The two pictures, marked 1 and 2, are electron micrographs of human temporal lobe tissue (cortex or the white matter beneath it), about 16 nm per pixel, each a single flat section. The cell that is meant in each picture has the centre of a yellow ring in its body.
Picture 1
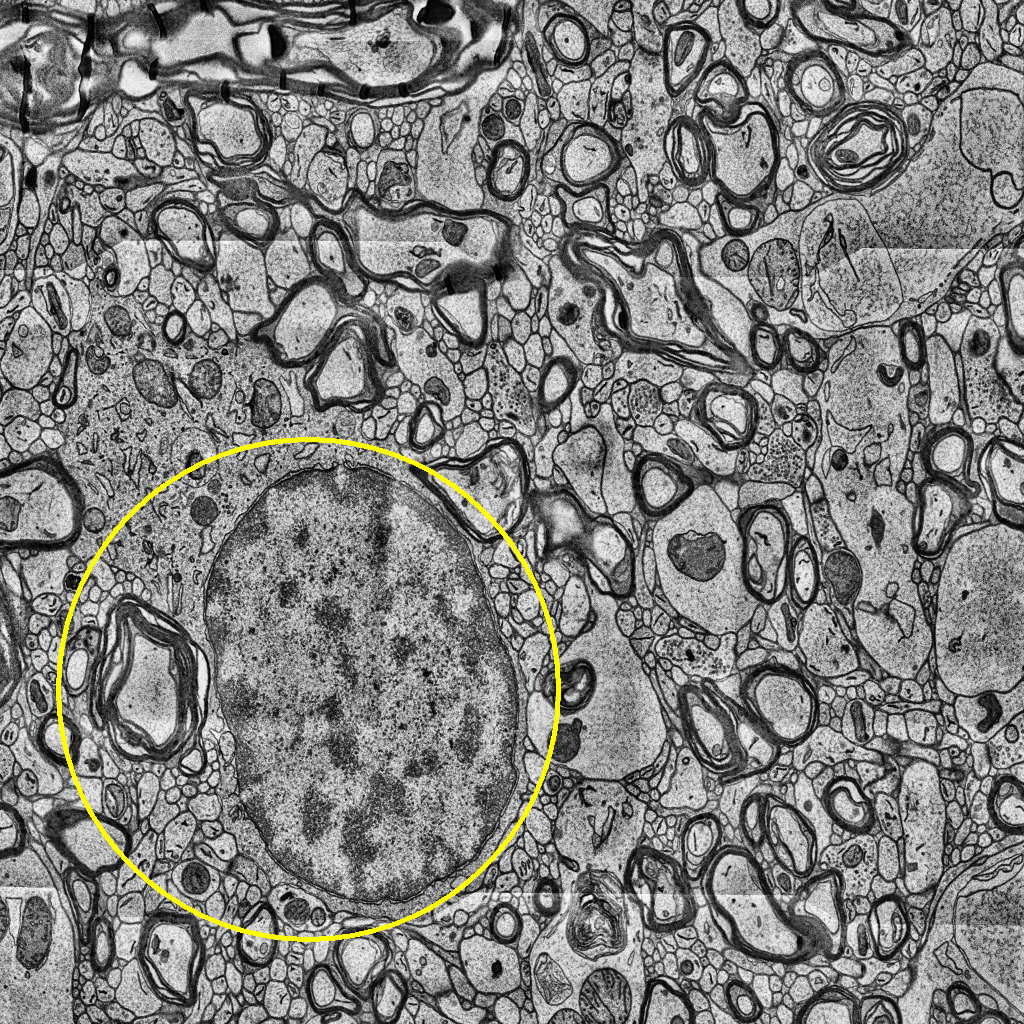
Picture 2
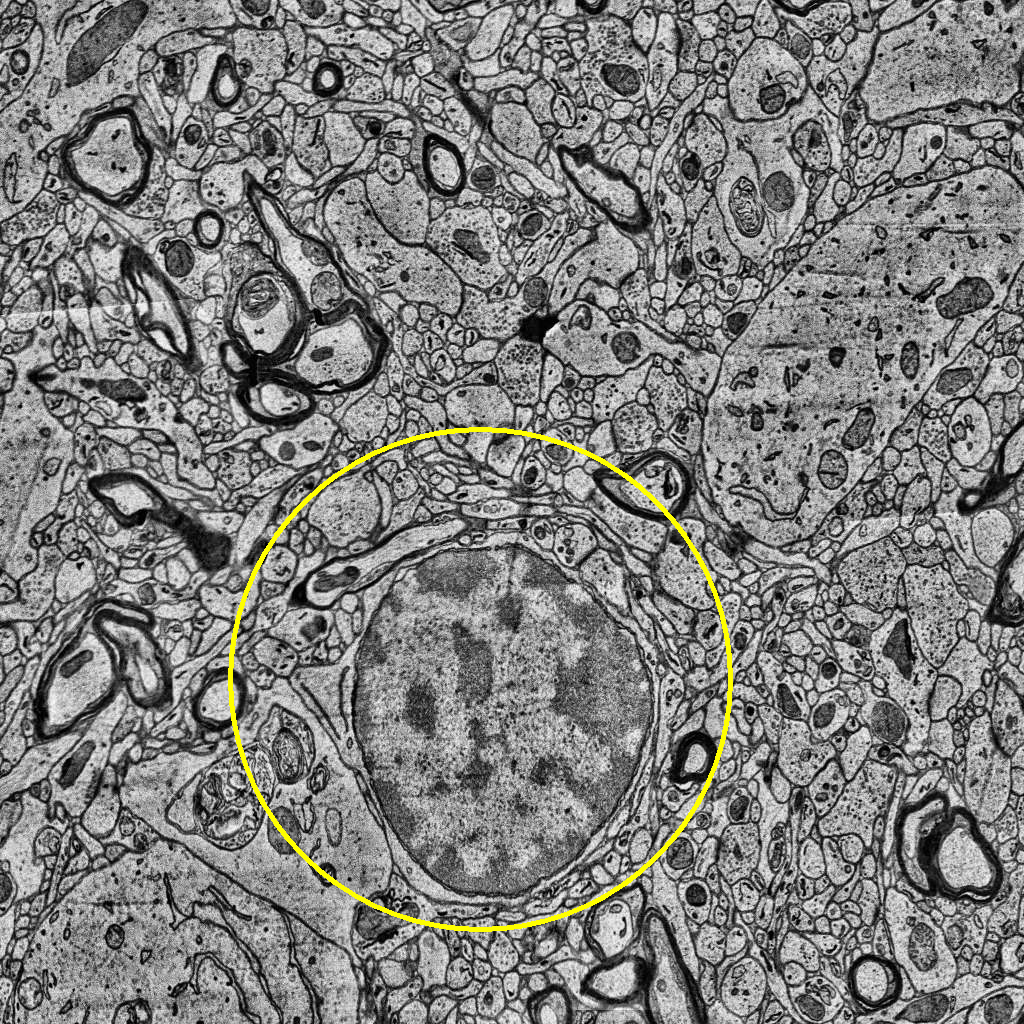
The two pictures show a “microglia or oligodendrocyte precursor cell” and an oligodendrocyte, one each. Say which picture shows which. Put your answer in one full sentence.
Picture 2 shows a “microglia or oligodendrocyte precursor cell”, while picture 1 shows an oligodendrocyte.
